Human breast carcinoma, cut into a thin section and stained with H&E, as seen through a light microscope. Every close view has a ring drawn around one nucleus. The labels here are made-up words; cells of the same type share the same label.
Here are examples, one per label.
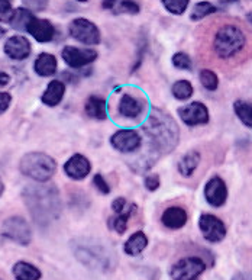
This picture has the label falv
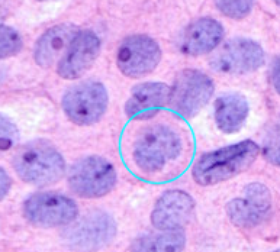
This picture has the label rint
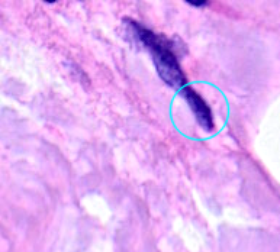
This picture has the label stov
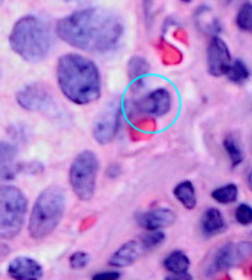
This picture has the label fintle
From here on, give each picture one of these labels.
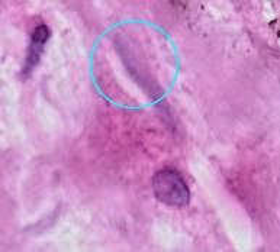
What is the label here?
stov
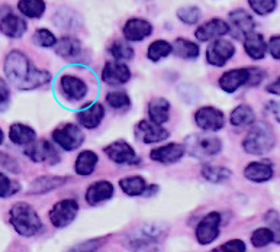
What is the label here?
falv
